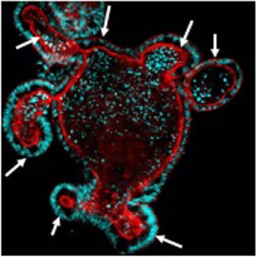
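This is a fluorescent image of an epithelial organoid with a large central hollow body and several crypt-like buds. A single layer of cyan nuclei forms the outer wall, densest in the buds. A sharp, bright red line runs along the inner, luminal face of the epithelium, outlining the central cavity and continuing into each bud. The central lumen contains many scattered small cyan dots, consistent with shed cells and nuclear fragments. Several buds project outward, some rounded and hollow, others filled with red material, giving the structure a lobulated outline.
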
